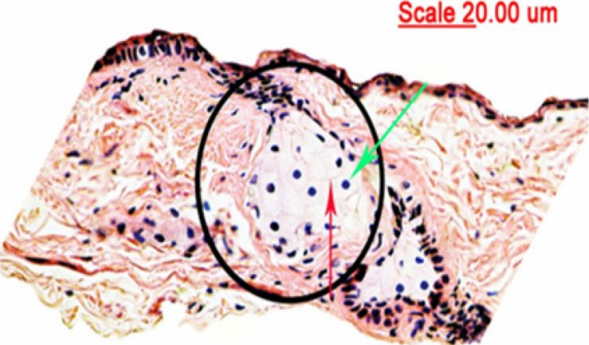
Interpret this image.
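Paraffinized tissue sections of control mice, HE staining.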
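This is a section of skin with a thin, darkly stained epidermis on top and a lobule of large pale gland cells set in the dermis beneath it. The gland cells are big and polygonal, with clear, finely vacuolated cytoplasm that takes up hardly any stain. Each has a small, round, dark blue nucleus lying roughly in its centre, and thin pink lines mark the borders between neighbouring cells. The surrounding dermis is made of loose, wavy pink fibres with scattered small nuclei.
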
